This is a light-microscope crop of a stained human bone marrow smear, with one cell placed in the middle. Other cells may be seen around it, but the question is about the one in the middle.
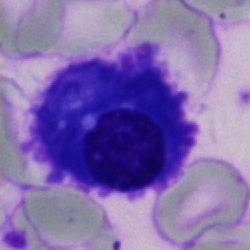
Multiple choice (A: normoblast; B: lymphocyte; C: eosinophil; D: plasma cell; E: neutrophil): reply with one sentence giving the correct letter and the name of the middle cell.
The right choice is option D: the cell in the middle is a plasma cell.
